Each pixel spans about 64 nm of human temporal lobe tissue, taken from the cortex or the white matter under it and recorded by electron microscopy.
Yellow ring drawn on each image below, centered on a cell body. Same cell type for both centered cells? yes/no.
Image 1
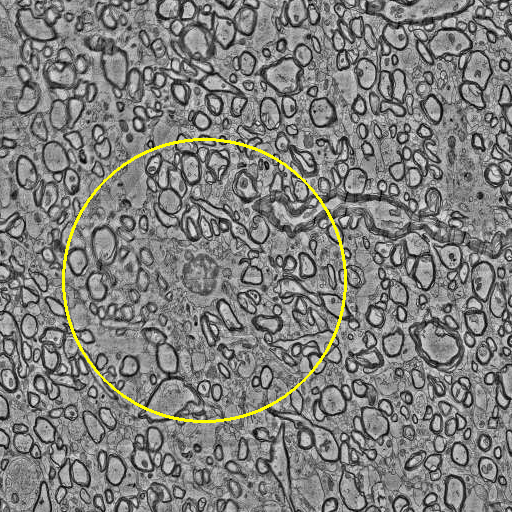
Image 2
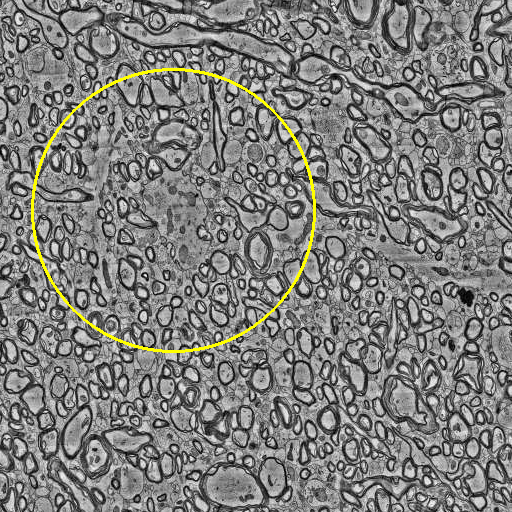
yes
